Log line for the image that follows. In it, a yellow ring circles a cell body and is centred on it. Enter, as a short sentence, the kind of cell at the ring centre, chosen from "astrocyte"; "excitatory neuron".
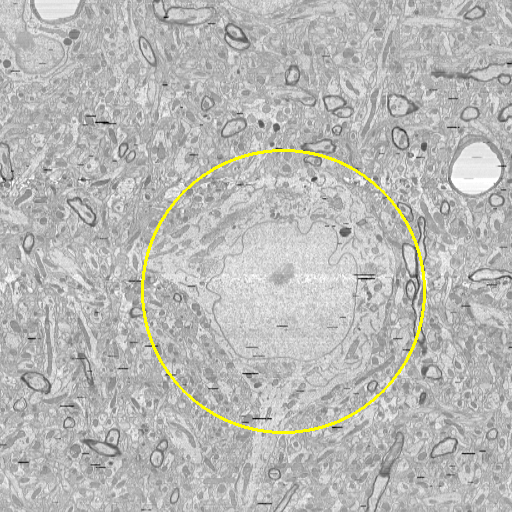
The ring centre is occupied by an excitatory neuron.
